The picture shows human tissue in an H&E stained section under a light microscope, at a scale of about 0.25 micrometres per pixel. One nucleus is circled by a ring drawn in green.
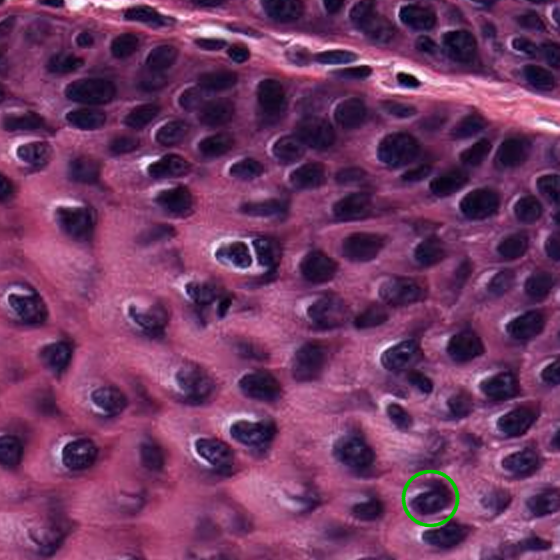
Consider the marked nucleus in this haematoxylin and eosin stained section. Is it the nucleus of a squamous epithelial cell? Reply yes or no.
yes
